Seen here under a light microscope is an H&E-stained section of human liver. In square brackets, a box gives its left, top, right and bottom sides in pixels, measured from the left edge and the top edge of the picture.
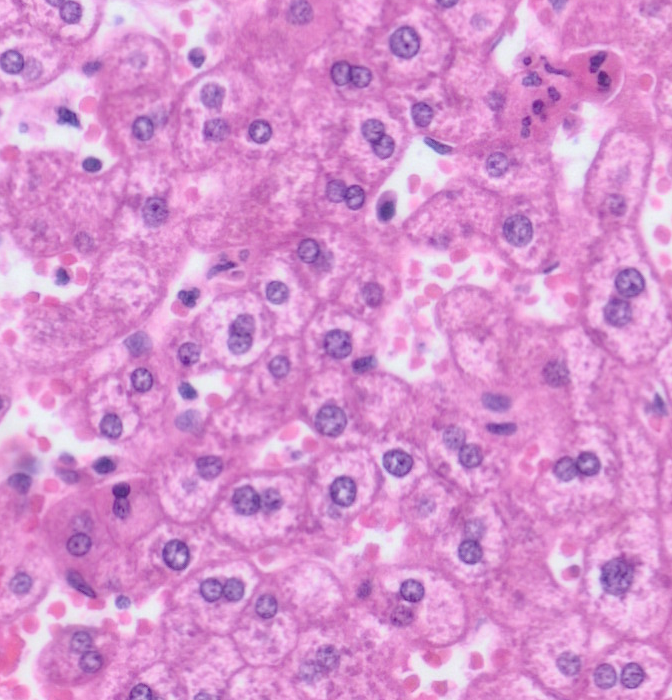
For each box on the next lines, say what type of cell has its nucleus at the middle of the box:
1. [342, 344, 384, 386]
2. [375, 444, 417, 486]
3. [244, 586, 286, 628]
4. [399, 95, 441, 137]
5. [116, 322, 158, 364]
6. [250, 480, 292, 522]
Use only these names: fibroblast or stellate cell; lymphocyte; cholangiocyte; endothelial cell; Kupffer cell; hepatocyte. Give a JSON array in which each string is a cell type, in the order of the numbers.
["fibroblast or stellate cell", "hepatocyte", "hepatocyte", "hepatocyte", "endothelial cell", "hepatocyte"]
